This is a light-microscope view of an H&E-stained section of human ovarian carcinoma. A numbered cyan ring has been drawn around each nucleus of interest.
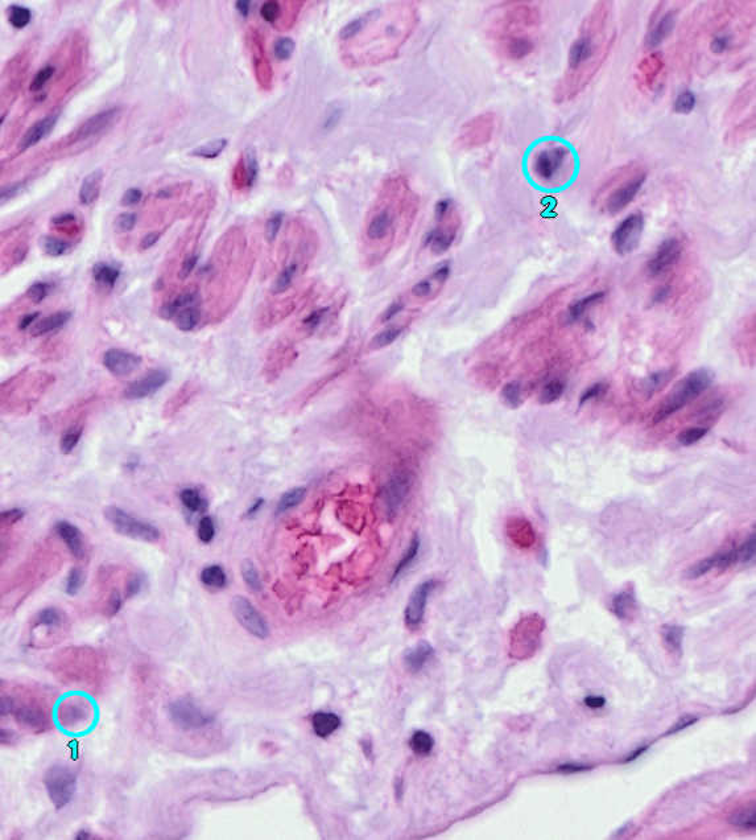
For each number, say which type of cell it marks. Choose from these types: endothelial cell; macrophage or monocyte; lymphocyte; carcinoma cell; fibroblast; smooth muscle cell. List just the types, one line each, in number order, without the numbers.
smooth muscle cell
fibroblast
